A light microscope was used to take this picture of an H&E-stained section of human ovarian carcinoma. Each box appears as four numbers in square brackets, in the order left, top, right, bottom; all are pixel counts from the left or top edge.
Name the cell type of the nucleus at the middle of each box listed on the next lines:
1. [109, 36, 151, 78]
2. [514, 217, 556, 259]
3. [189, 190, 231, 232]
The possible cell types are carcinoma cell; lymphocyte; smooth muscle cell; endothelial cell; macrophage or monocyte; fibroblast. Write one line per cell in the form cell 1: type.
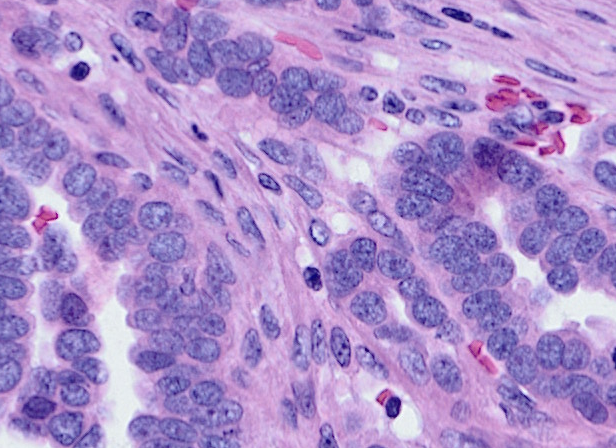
cell 1: fibroblast
cell 2: carcinoma cell
cell 3: fibroblast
